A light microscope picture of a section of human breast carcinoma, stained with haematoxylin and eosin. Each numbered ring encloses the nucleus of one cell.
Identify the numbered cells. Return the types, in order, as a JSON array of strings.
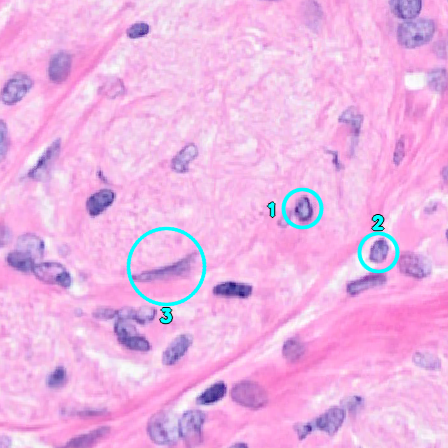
["endothelial cell", "lymphocyte", "fibroblast"]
